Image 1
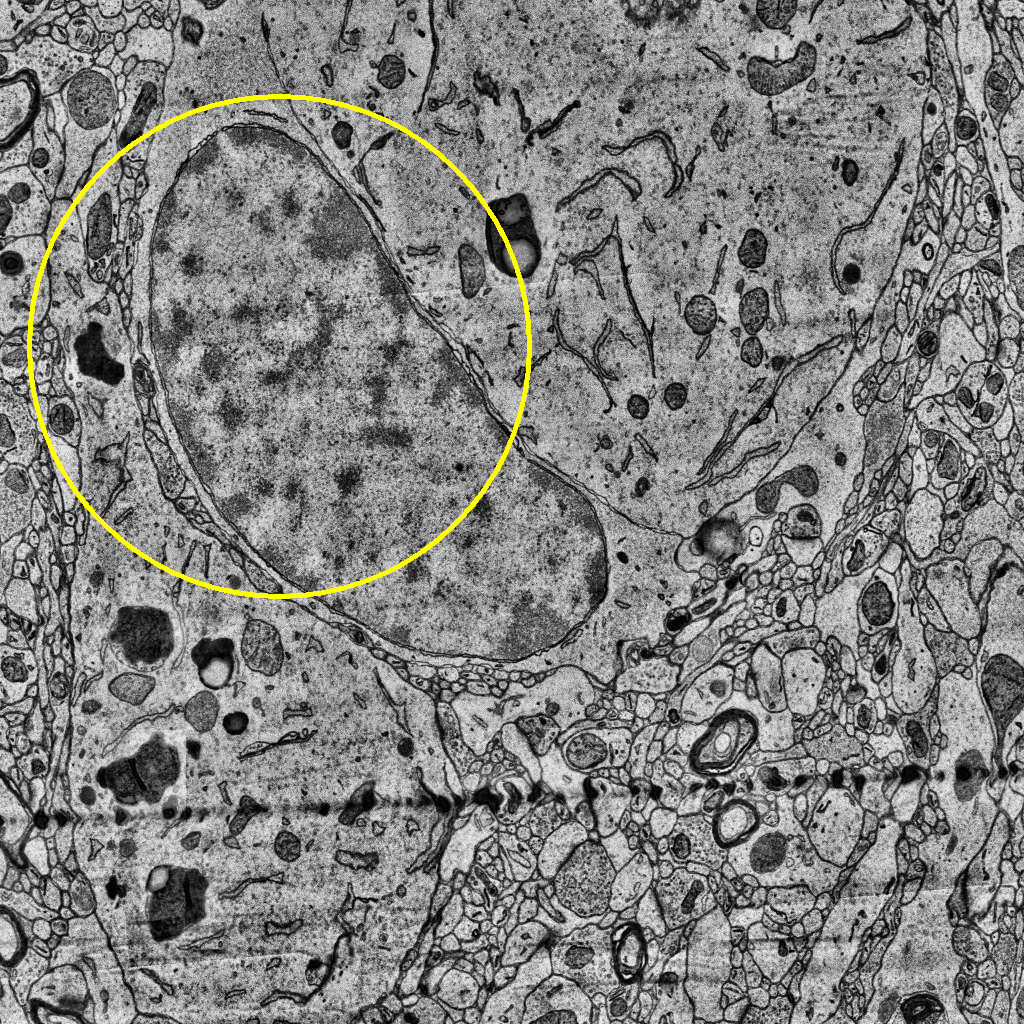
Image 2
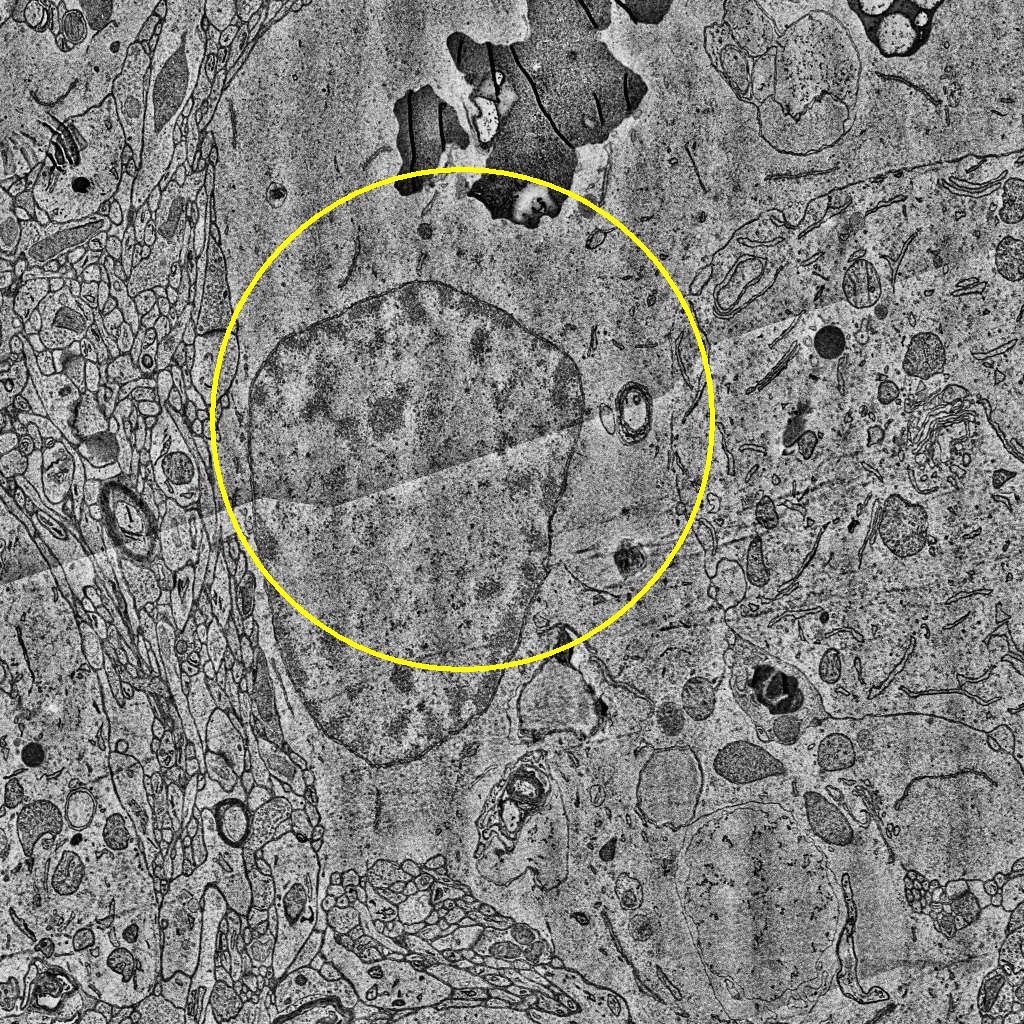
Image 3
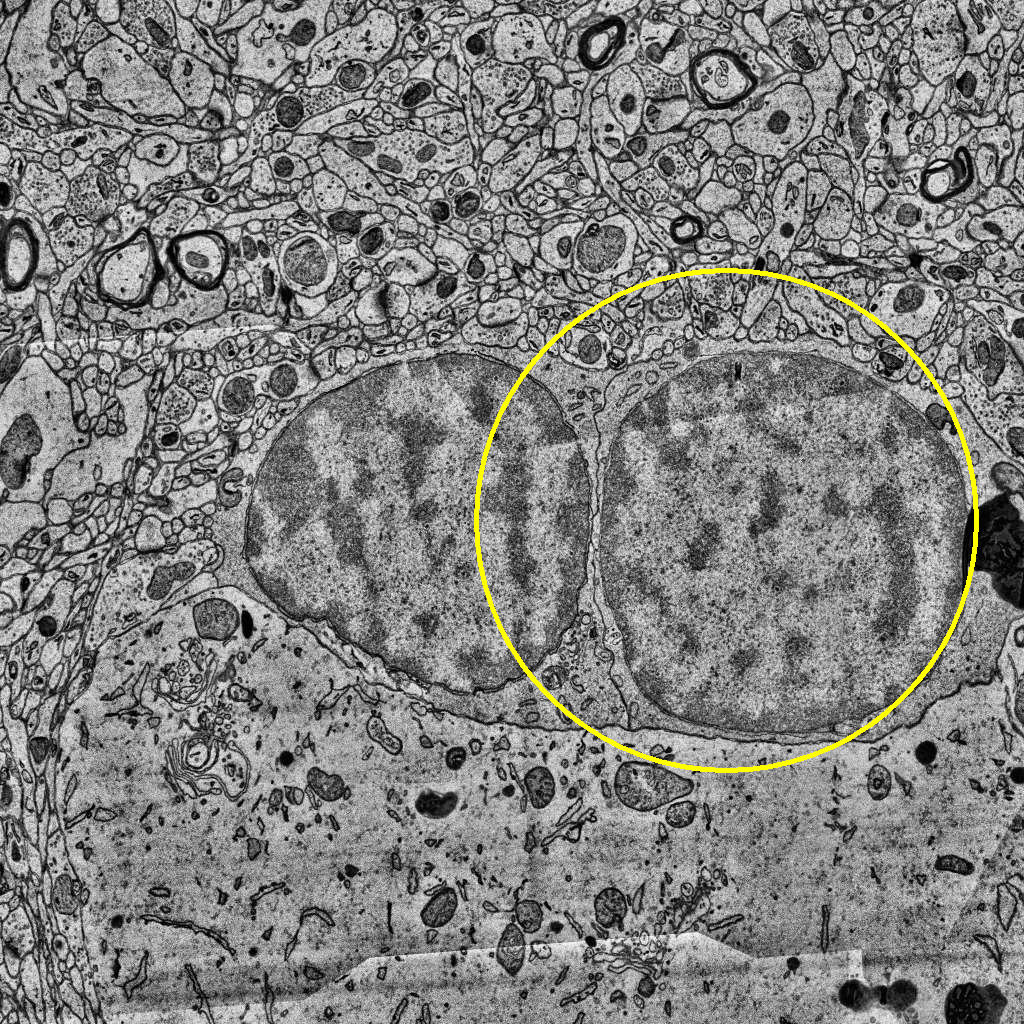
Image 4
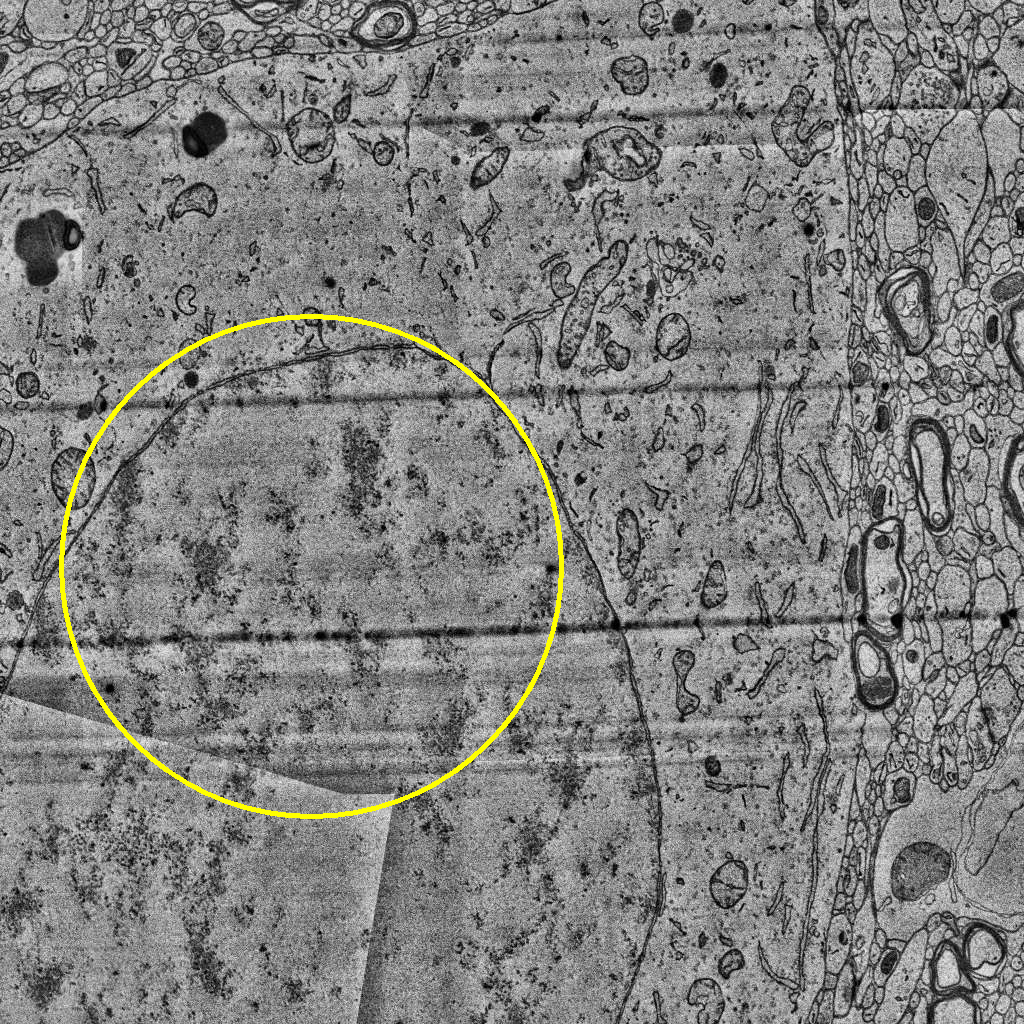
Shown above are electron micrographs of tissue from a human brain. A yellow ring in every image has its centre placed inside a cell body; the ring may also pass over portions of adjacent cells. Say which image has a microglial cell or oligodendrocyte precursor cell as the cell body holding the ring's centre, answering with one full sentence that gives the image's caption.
The image whose ring has its centre inside the requested cell is Image 1.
